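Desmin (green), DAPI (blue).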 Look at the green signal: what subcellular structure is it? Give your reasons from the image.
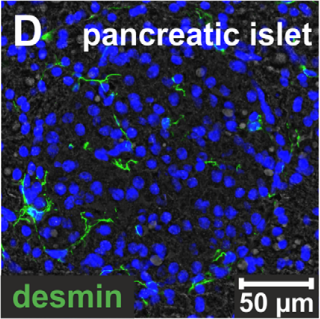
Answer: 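Branched cell protrusions. Thin green threads branch out between the blue nuclei. The green profiles are slender and scattered, not filling whole cells.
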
